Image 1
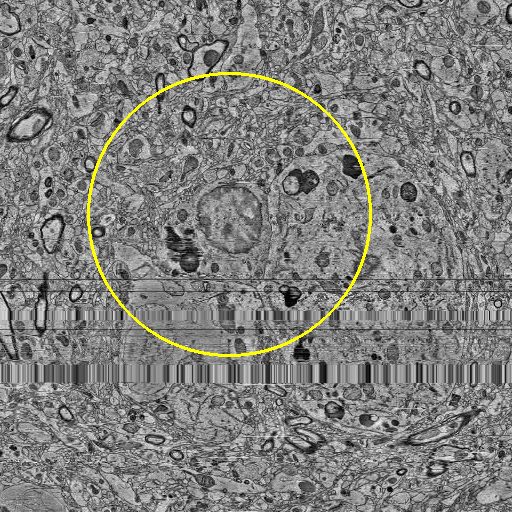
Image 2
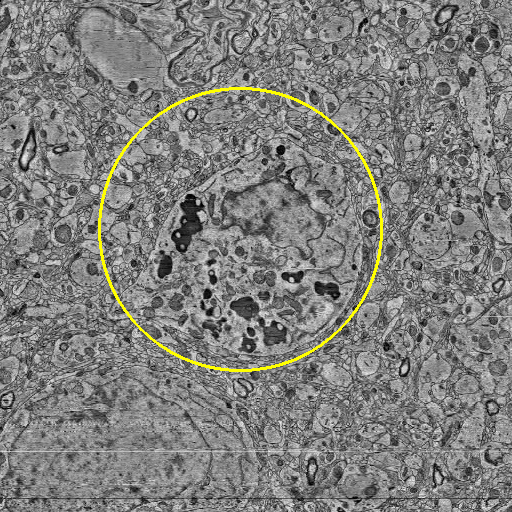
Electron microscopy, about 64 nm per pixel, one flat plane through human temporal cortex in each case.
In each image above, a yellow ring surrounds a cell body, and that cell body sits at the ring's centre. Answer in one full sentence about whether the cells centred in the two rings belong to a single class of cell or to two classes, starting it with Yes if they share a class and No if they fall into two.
No, the cells centred in the two yellow rings belong to two classes of cell.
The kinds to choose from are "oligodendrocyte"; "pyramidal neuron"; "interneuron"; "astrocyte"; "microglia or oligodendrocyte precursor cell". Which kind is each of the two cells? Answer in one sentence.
Of the two, the first cell is an oligodendrocyte and the second cell is an interneuron.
